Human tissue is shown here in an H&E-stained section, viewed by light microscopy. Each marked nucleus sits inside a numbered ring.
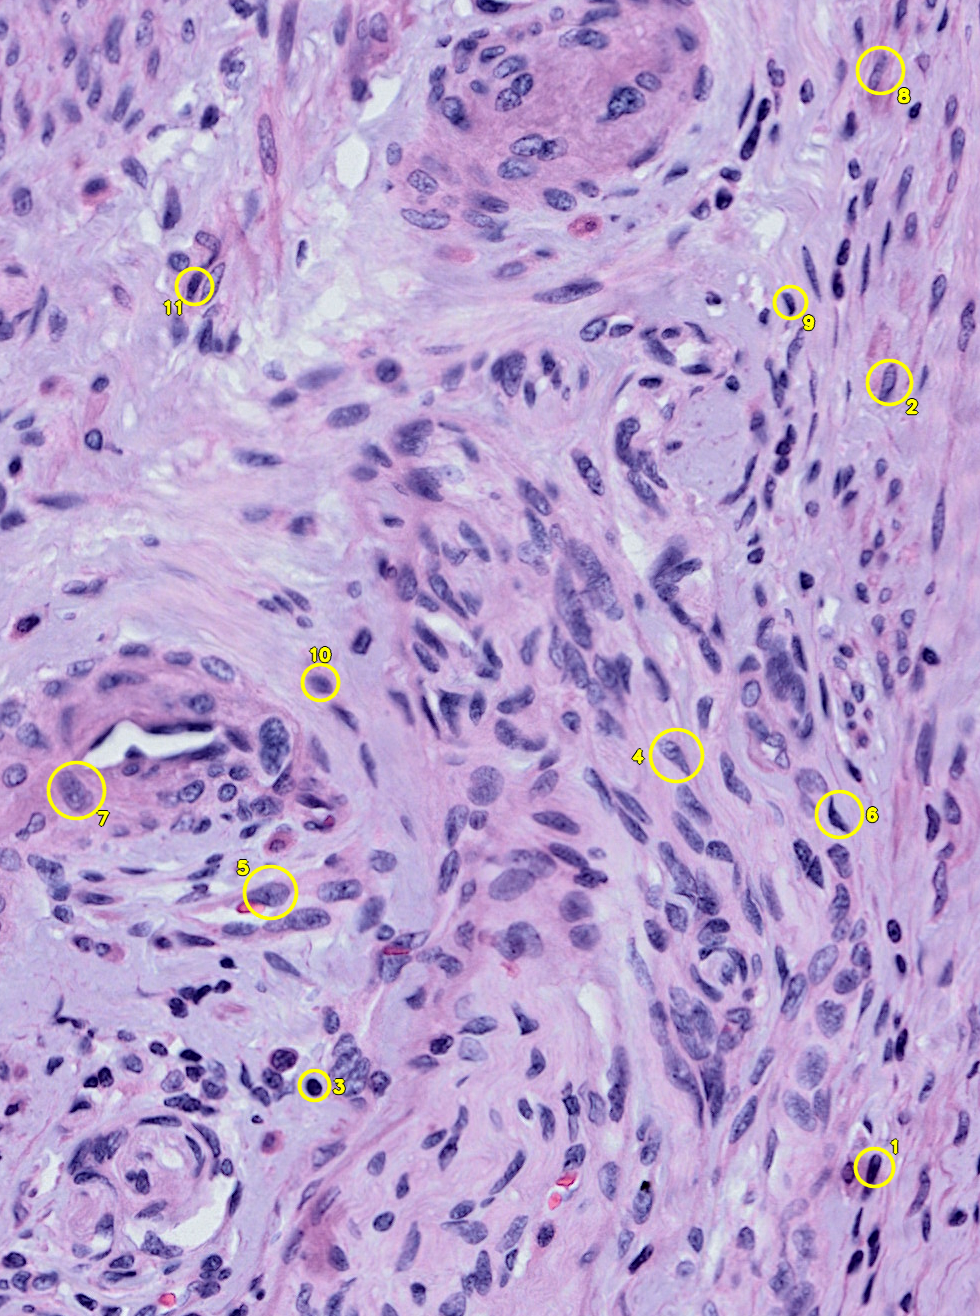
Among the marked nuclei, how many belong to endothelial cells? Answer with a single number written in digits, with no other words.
3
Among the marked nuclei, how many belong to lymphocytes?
2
